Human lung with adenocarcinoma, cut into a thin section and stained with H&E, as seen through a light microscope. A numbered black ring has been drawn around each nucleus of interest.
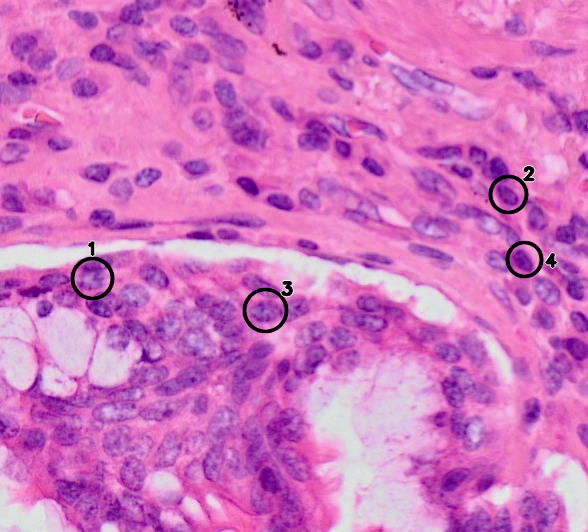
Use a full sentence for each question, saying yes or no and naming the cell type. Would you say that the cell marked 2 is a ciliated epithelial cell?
No, calling cell 2 a ciliated epithelial cell is a mistake; it is a plasma cell.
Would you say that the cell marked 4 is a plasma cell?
Yes, number 4 corresponds to a plasma cell.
